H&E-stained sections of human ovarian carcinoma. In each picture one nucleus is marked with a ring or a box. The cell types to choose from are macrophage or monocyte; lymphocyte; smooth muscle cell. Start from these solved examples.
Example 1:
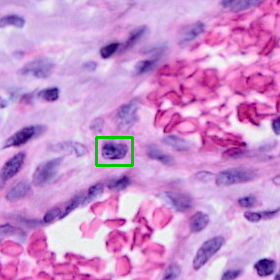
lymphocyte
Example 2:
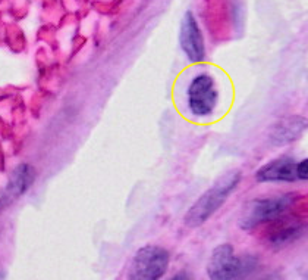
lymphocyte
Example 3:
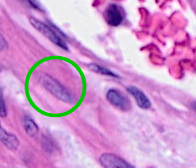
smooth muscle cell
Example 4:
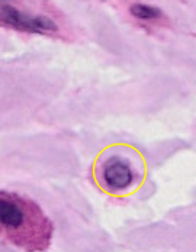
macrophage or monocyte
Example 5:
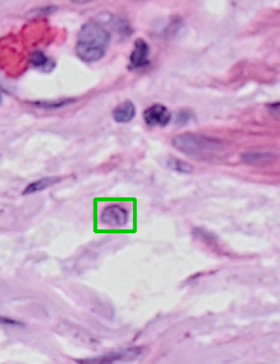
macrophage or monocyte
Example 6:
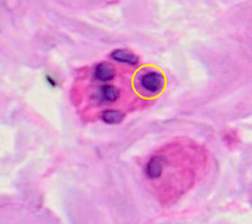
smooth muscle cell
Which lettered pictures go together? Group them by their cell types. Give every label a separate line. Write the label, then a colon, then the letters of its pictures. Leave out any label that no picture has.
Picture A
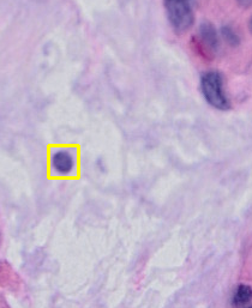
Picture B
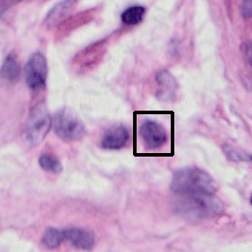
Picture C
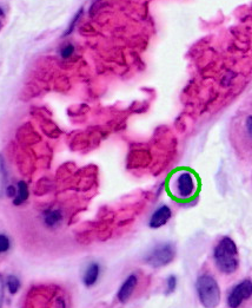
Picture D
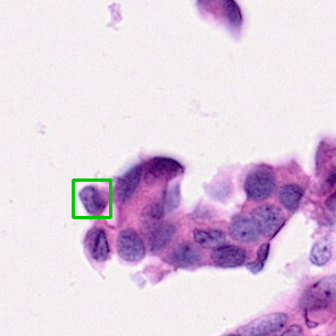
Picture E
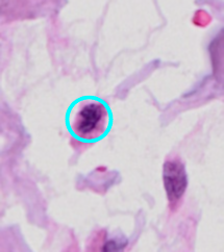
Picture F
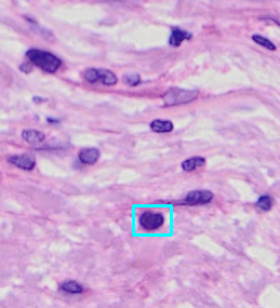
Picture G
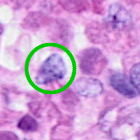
macrophage or monocyte: B, D, E, G
lymphocyte: A, C, F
